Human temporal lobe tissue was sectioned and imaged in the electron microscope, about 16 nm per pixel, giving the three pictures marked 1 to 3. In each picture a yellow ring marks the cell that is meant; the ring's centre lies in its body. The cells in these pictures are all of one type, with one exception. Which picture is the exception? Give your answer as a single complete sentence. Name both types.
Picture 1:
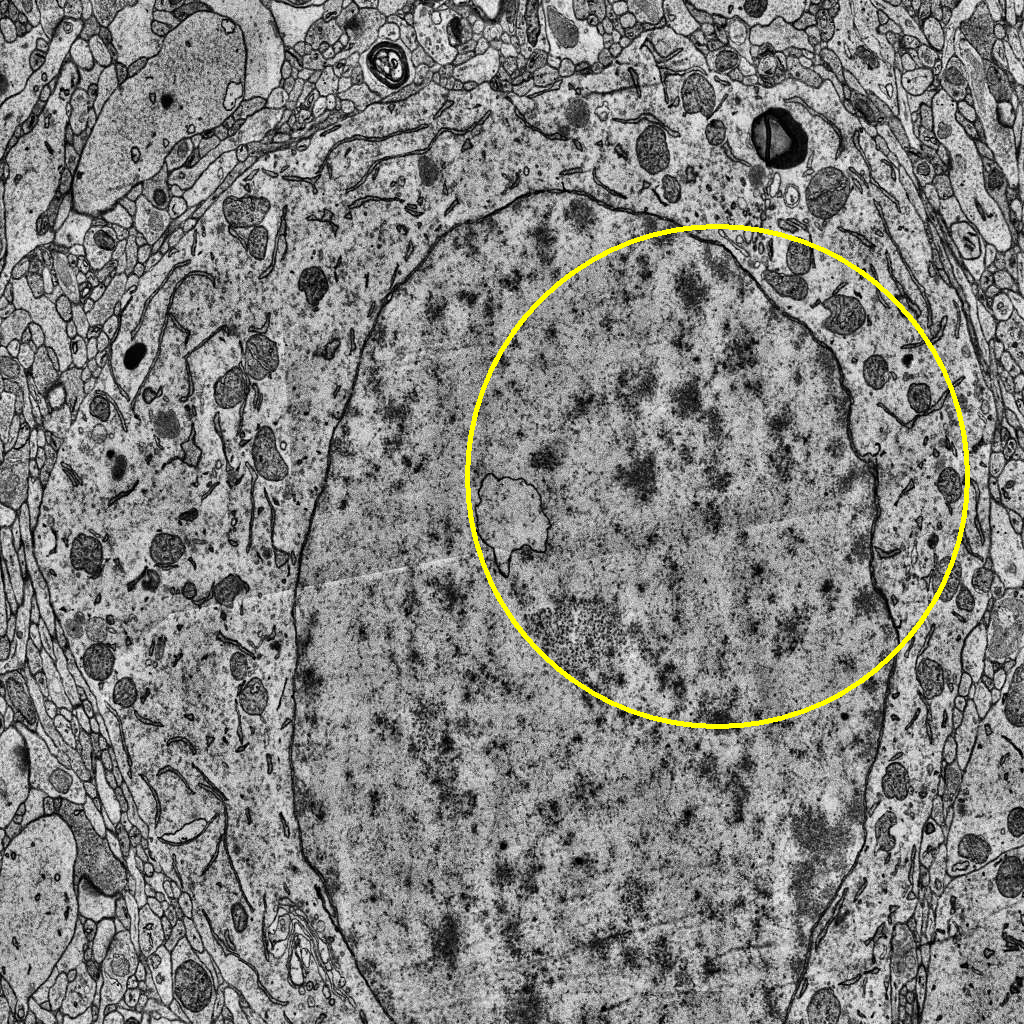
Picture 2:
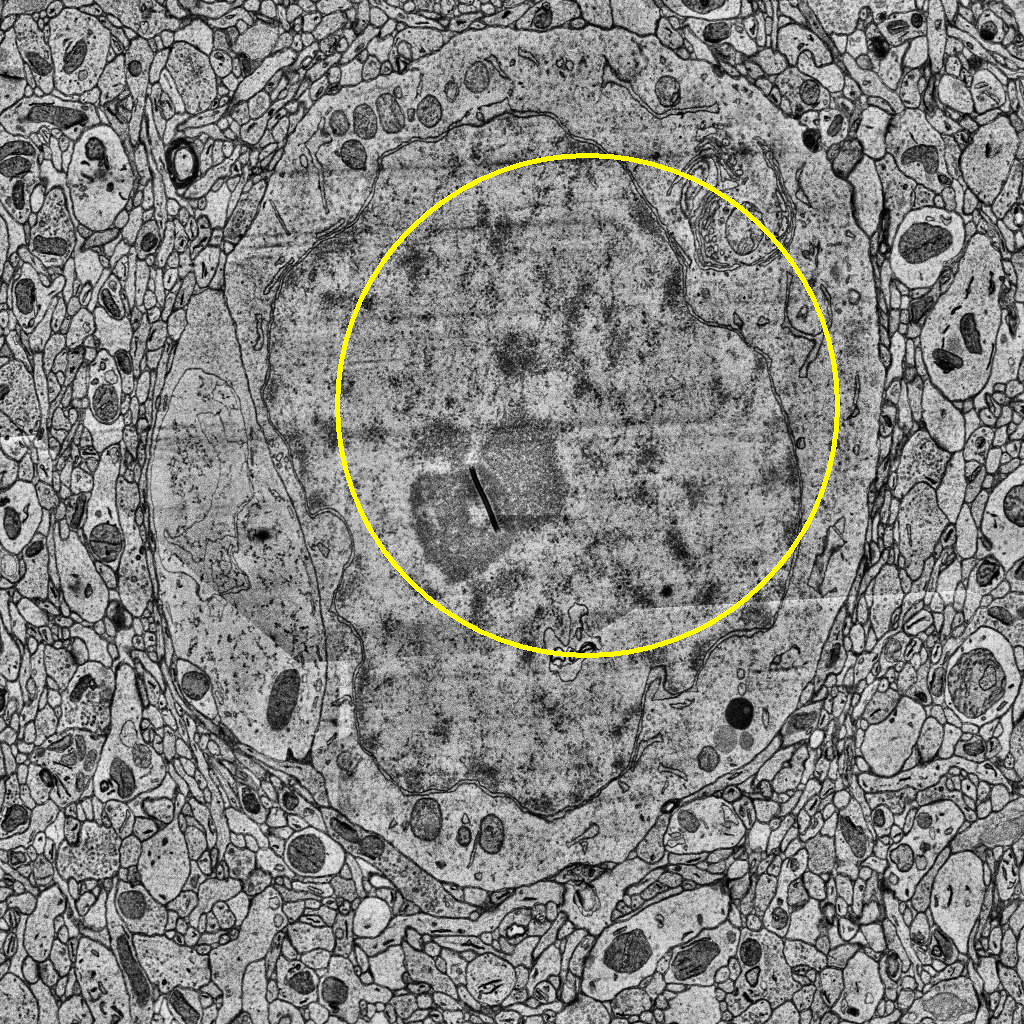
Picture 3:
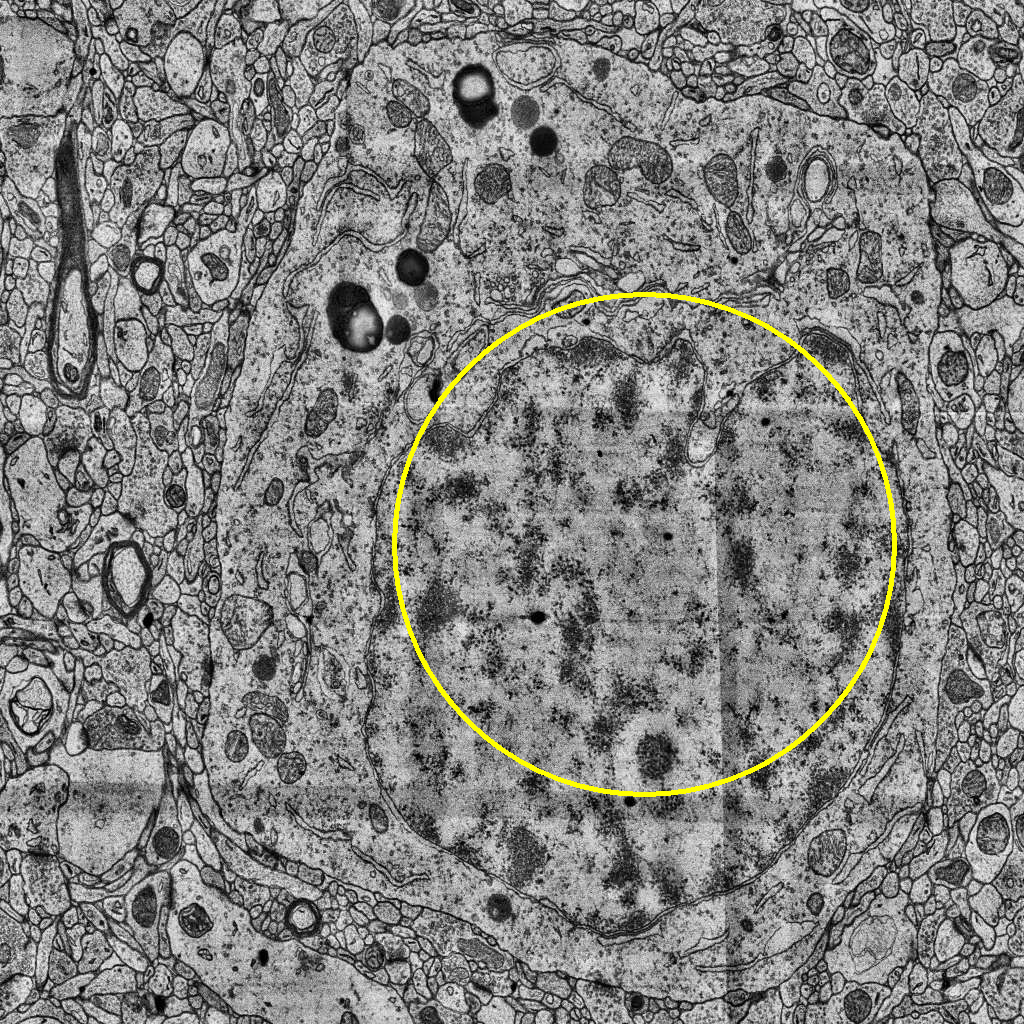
The different one is picture 1; it shows a pyramidal neuron, whereas all the others show interneurons.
